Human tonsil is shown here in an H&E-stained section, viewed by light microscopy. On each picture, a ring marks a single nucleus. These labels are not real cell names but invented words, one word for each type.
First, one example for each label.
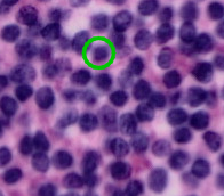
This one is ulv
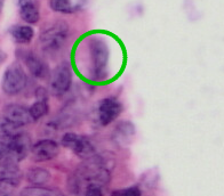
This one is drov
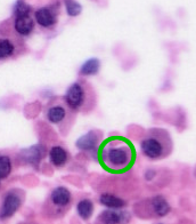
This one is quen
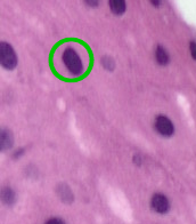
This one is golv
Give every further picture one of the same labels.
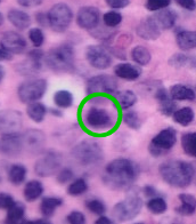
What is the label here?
drov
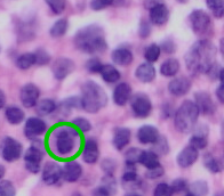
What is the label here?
ulv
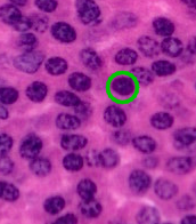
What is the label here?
quen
